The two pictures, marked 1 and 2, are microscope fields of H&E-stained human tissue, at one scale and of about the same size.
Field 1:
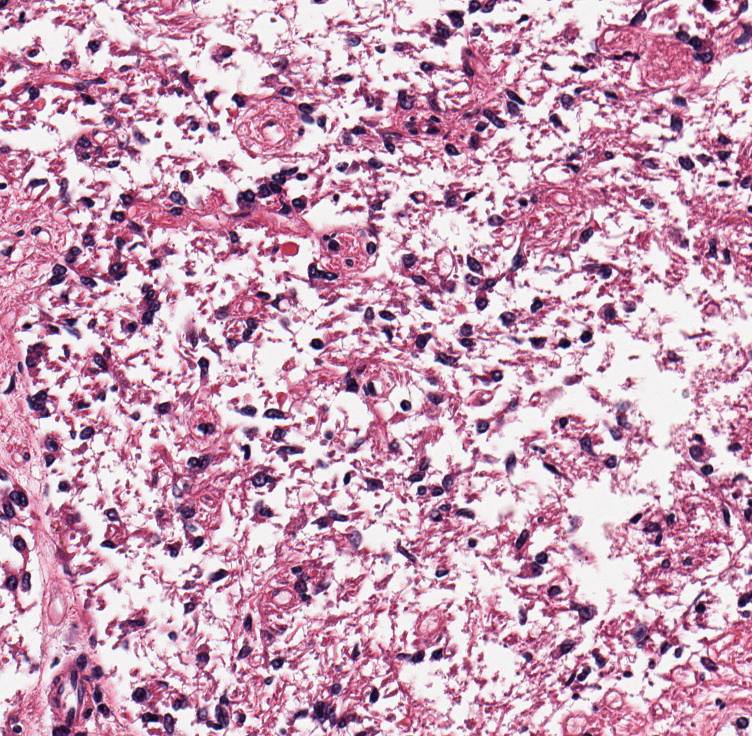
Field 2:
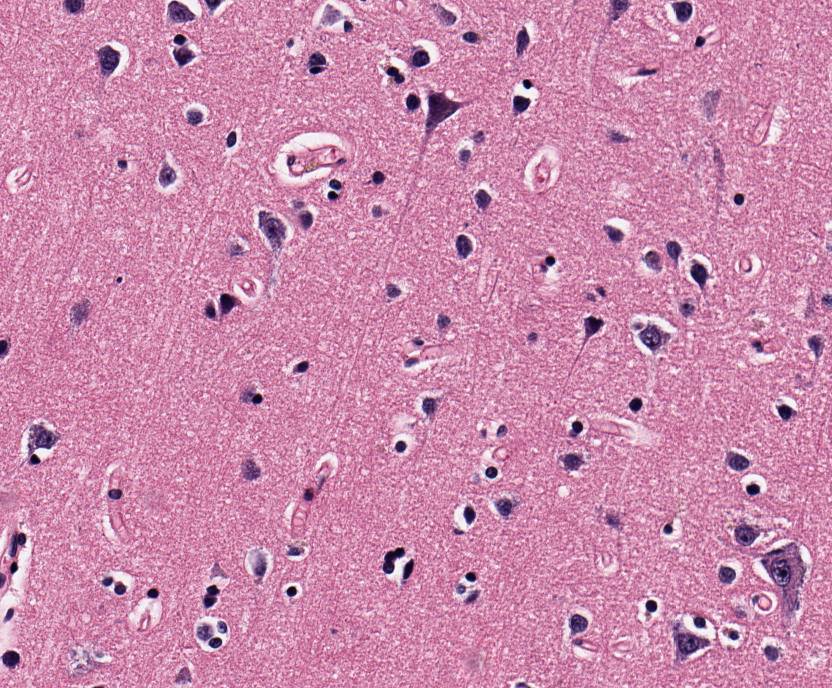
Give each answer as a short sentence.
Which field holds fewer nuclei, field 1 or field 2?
Fewer nuclei lie in field 2 than in field 1.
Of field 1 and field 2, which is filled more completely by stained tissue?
Field 2 has less white space.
